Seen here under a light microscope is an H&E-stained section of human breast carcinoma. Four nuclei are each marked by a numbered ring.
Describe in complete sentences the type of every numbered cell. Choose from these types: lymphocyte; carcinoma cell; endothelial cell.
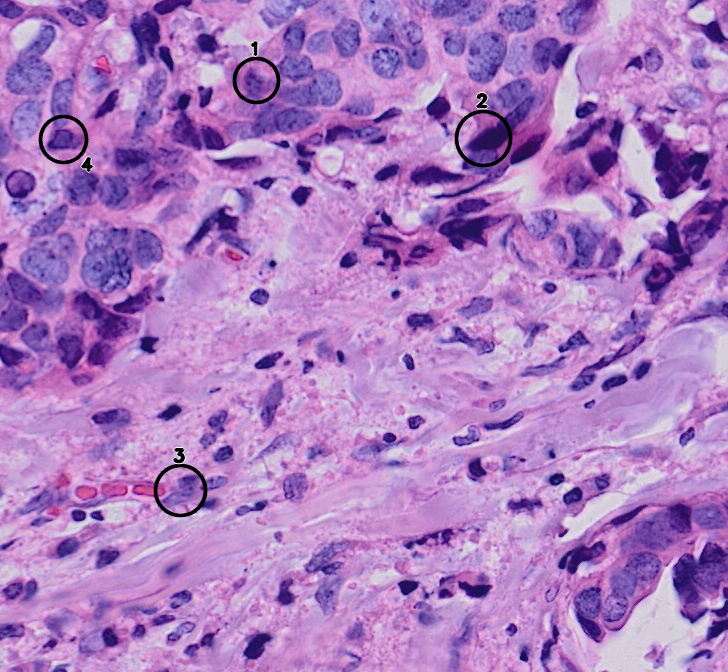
Cells 1, 2 and 4 are carcinoma cells. Cell 3 is an endothelial cell.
